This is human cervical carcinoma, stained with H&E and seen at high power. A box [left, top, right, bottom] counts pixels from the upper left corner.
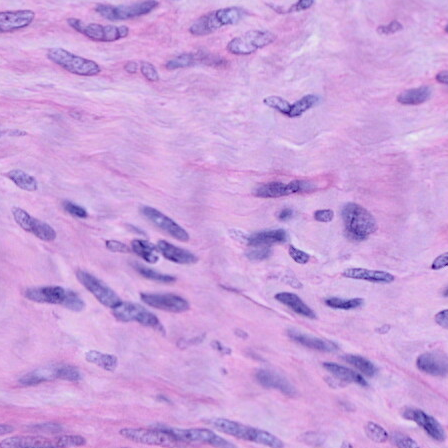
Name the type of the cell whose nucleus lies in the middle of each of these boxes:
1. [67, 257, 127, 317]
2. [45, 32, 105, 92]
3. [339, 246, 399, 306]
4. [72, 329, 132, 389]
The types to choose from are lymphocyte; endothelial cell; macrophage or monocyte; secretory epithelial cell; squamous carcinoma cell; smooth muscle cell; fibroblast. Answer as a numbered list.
1. fibroblast
2. smooth muscle cell
3. fibroblast
4. fibroblast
